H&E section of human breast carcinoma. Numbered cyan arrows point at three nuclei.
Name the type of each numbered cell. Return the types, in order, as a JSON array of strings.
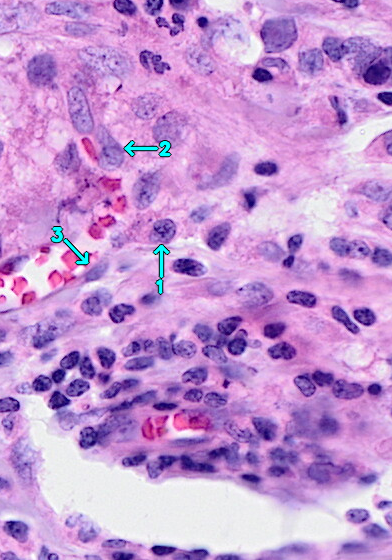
["macrophage, monocyte or dendritic cell", "endothelial cell", "endothelial cell"]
